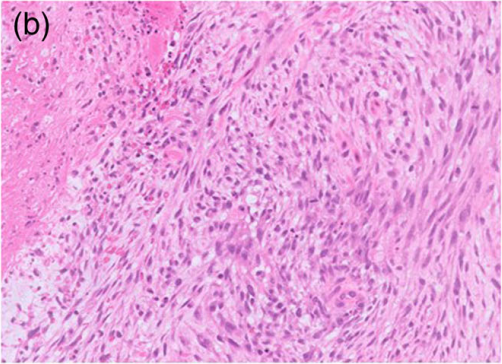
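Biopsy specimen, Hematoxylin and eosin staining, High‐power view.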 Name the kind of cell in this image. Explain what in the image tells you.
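Most cells are elongated with tapering ends. Cells are densely packed and run in interlacing bundles. Nuclei are elongated and darkly stained. On this evidence: spindle‐shaped tumor cells.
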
